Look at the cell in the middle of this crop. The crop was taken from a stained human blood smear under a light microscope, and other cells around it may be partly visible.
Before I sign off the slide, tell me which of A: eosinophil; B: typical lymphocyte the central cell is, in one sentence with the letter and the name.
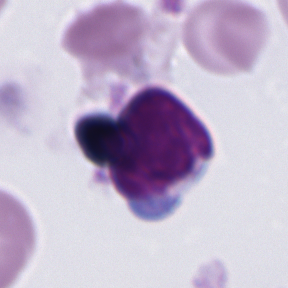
Answer key: option B, the middle cell being a typical lymphocyte.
